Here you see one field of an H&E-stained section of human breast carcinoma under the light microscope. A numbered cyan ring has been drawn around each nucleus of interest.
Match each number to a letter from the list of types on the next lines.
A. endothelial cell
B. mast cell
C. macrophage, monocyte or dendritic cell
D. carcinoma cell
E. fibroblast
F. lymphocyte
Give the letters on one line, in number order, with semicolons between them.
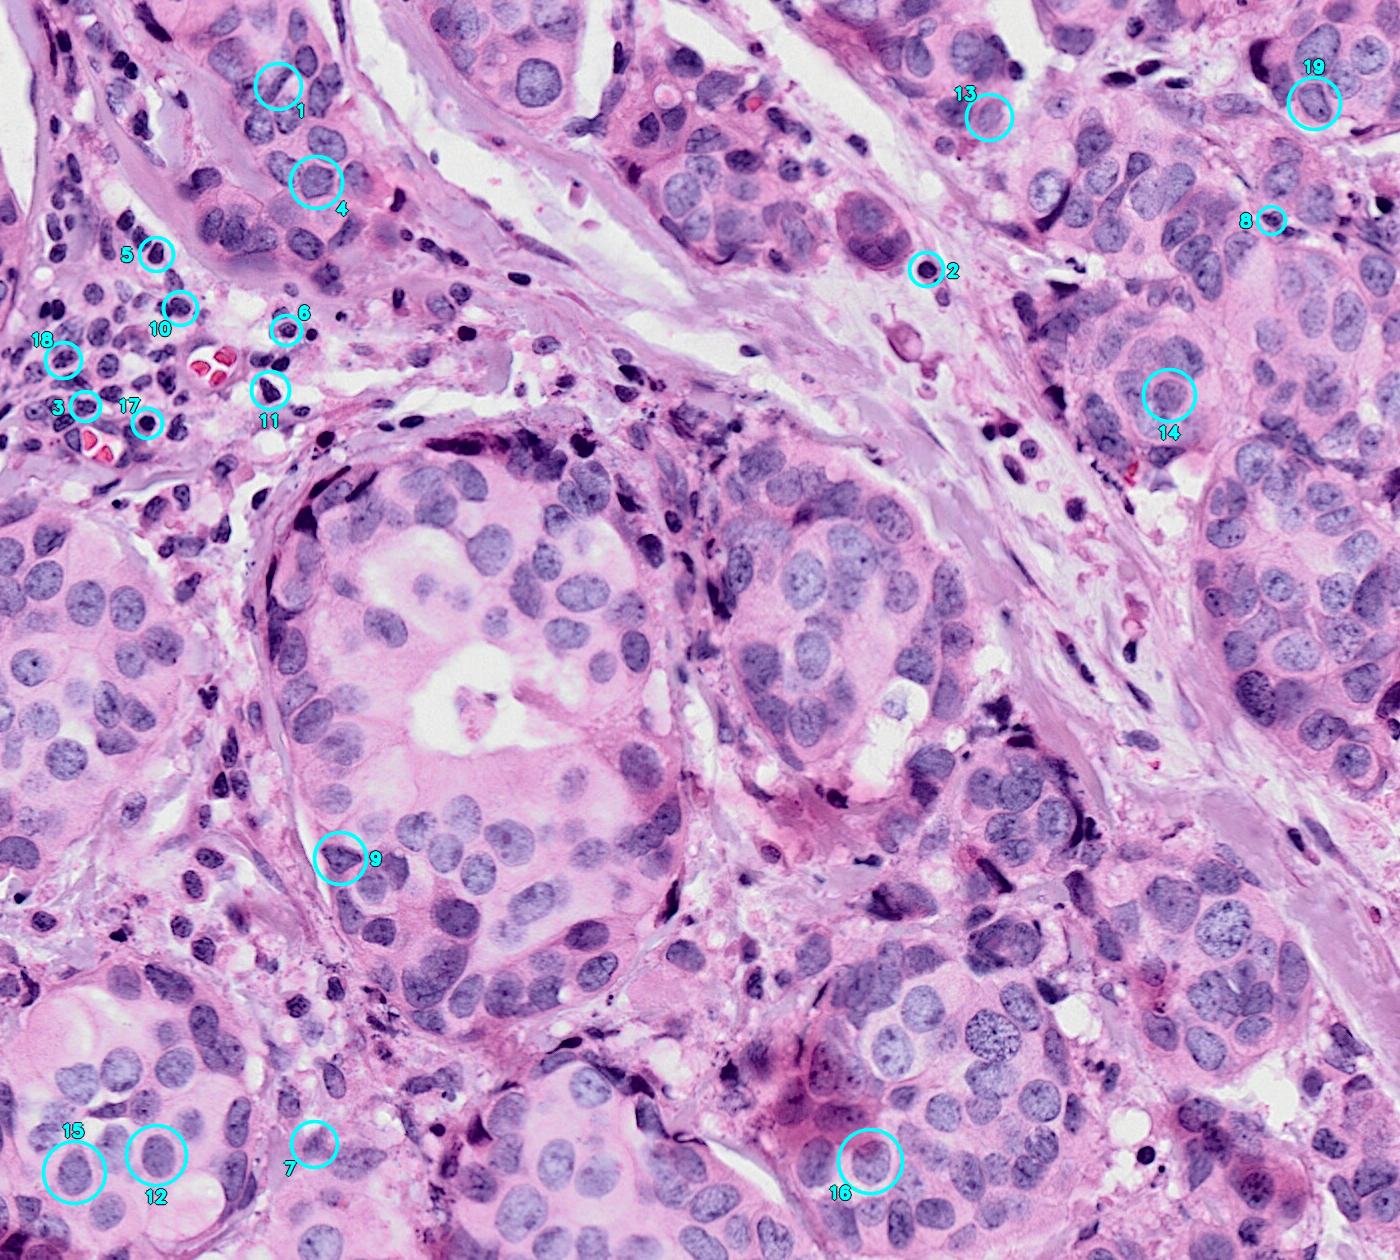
D; F; F; D; F; F; E; F; D; F; F; D; D; D; D; D; F; F; D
